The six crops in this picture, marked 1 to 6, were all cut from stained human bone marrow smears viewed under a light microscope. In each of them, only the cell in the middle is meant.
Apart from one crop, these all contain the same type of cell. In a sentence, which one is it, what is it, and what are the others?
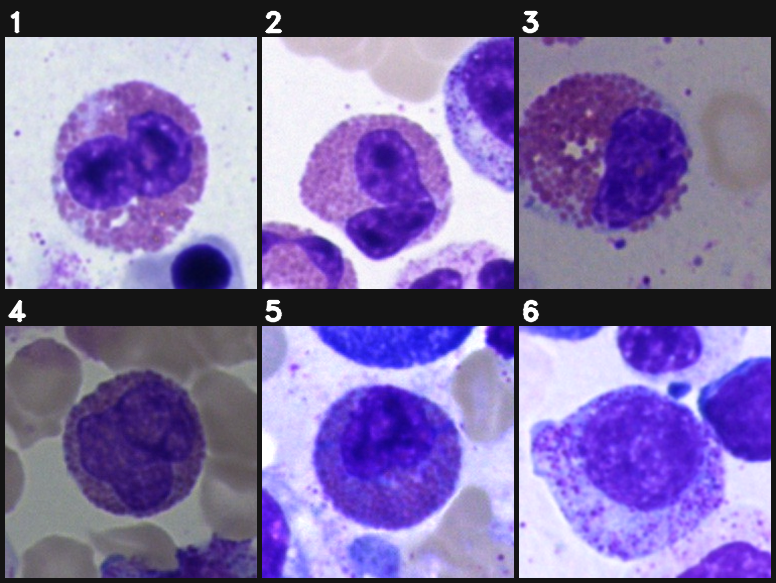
The different crop is 6; it is a promyelocyte, and the others all show eosinophils.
